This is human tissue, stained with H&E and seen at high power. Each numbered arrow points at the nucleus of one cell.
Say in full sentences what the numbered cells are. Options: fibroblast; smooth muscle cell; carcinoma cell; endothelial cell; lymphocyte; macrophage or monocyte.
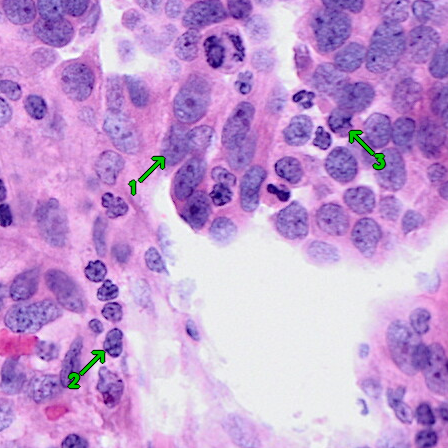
Cell 1 is a carcinoma cell. Cell 2 is a lymphocyte. Cell 3 is a macrophage or monocyte.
